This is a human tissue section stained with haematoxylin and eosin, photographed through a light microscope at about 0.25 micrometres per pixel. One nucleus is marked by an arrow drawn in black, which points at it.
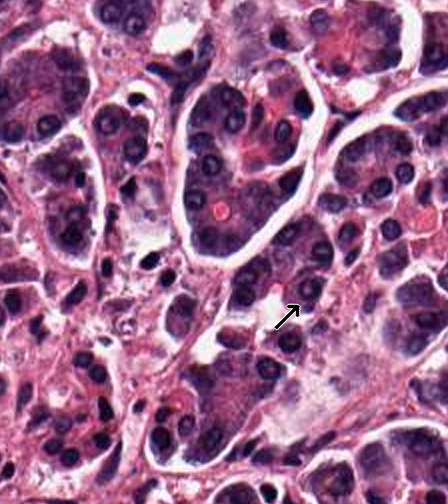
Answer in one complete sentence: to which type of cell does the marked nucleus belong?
The nucleus picked out by the mark is that of a pancreatic acinar cell.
